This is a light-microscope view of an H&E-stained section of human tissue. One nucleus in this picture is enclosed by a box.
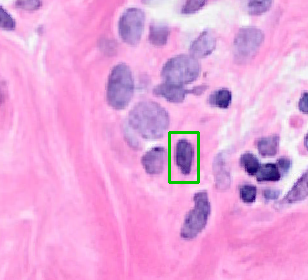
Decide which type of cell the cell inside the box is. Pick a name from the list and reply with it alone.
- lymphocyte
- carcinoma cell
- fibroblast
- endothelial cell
lymphocyte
